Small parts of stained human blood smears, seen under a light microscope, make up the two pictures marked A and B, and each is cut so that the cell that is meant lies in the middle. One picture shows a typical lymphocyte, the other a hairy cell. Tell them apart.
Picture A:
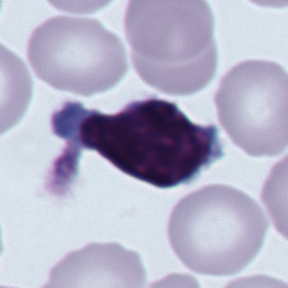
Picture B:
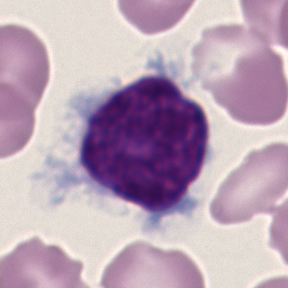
A: typical lymphocyte
B: hairy cell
